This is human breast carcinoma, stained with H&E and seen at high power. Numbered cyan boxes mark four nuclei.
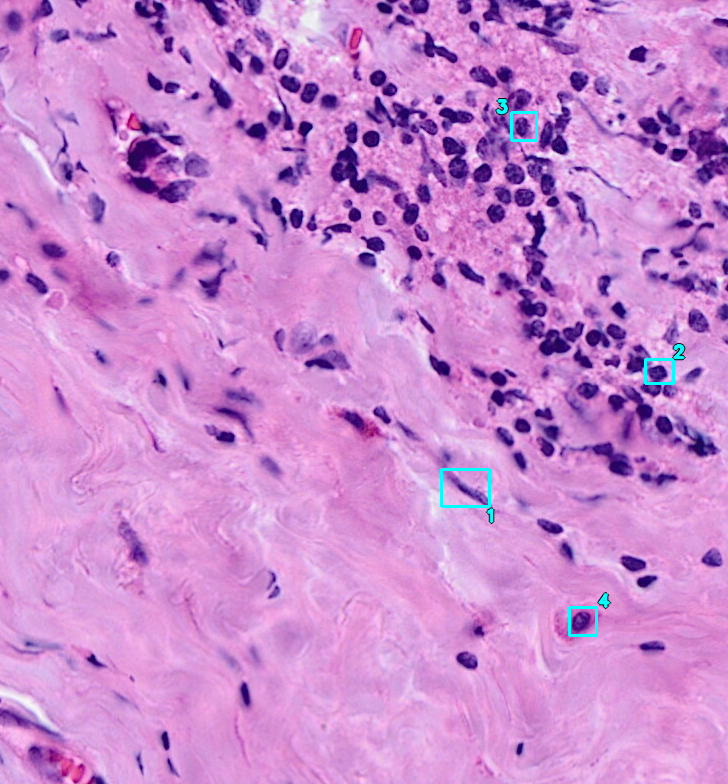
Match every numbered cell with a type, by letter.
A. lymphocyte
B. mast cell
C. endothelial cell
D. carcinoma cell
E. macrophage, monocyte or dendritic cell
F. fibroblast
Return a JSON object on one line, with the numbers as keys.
{"1": "F", "2": "A", "3": "A", "4": "B"}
